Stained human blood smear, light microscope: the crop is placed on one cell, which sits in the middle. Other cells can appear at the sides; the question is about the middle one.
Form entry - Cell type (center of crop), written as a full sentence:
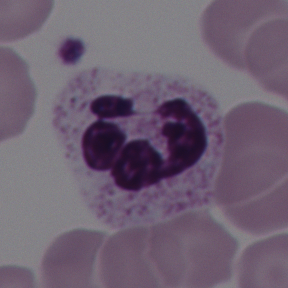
The cell featured at the centre of this crop is a segmented neutrophil.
